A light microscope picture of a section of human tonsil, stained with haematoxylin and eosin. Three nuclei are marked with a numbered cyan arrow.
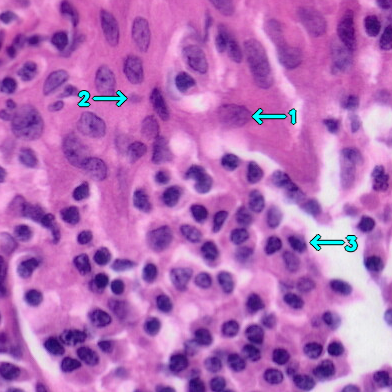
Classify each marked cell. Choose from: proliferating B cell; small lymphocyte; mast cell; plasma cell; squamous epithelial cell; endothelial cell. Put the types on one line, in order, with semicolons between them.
squamous epithelial cell; squamous epithelial cell; plasma cell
